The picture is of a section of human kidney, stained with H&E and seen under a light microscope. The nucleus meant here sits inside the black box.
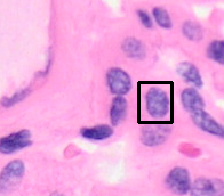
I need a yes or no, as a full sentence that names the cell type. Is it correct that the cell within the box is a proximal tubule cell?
No, the cell within the box is a collecting duct cell rather than a proximal tubule cell in this section.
